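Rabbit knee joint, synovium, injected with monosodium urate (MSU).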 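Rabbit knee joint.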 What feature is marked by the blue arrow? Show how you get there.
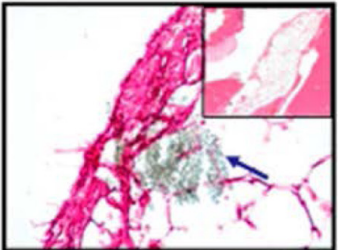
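Crystal aggregates. A pale greyish-green granular clump lies beside pink fibrous tissue.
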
